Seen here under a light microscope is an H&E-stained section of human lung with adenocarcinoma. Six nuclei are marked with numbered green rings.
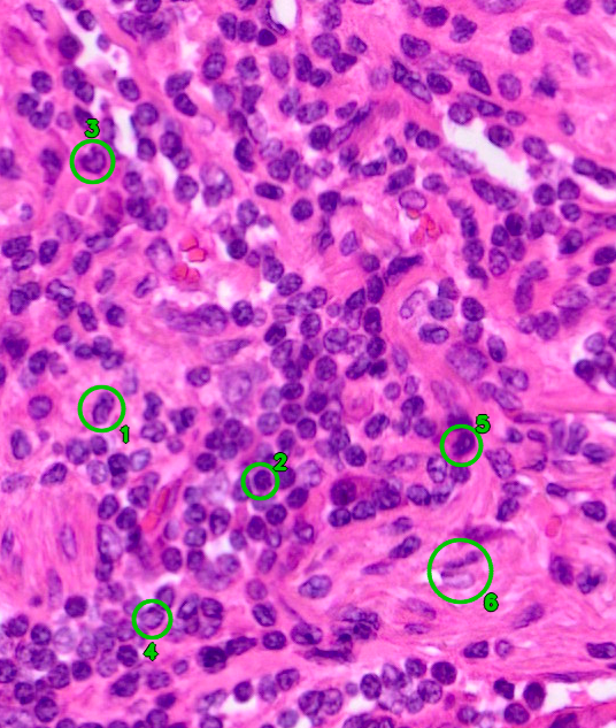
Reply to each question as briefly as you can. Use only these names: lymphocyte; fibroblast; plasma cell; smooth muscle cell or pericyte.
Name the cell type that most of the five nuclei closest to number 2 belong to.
lymphocyte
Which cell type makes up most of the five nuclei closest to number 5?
lymphocyte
